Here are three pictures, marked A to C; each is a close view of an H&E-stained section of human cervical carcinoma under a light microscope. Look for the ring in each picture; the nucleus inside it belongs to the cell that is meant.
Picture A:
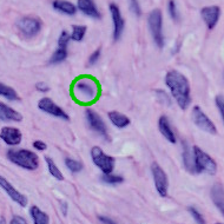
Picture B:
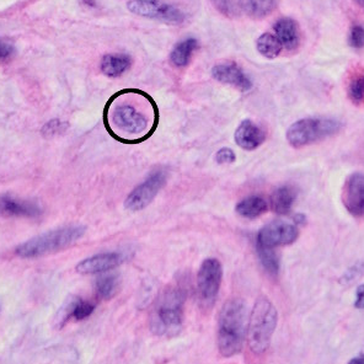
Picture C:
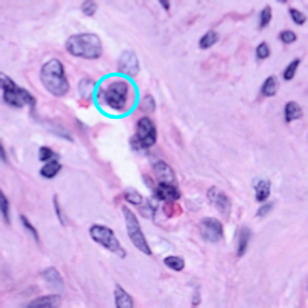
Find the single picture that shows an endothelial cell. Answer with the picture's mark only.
C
